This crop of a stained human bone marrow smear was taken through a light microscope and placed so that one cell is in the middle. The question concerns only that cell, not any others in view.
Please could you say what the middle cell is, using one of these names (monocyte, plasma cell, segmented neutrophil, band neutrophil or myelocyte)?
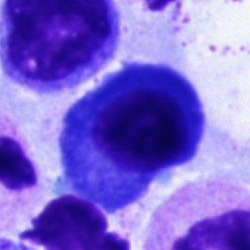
plasma cell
